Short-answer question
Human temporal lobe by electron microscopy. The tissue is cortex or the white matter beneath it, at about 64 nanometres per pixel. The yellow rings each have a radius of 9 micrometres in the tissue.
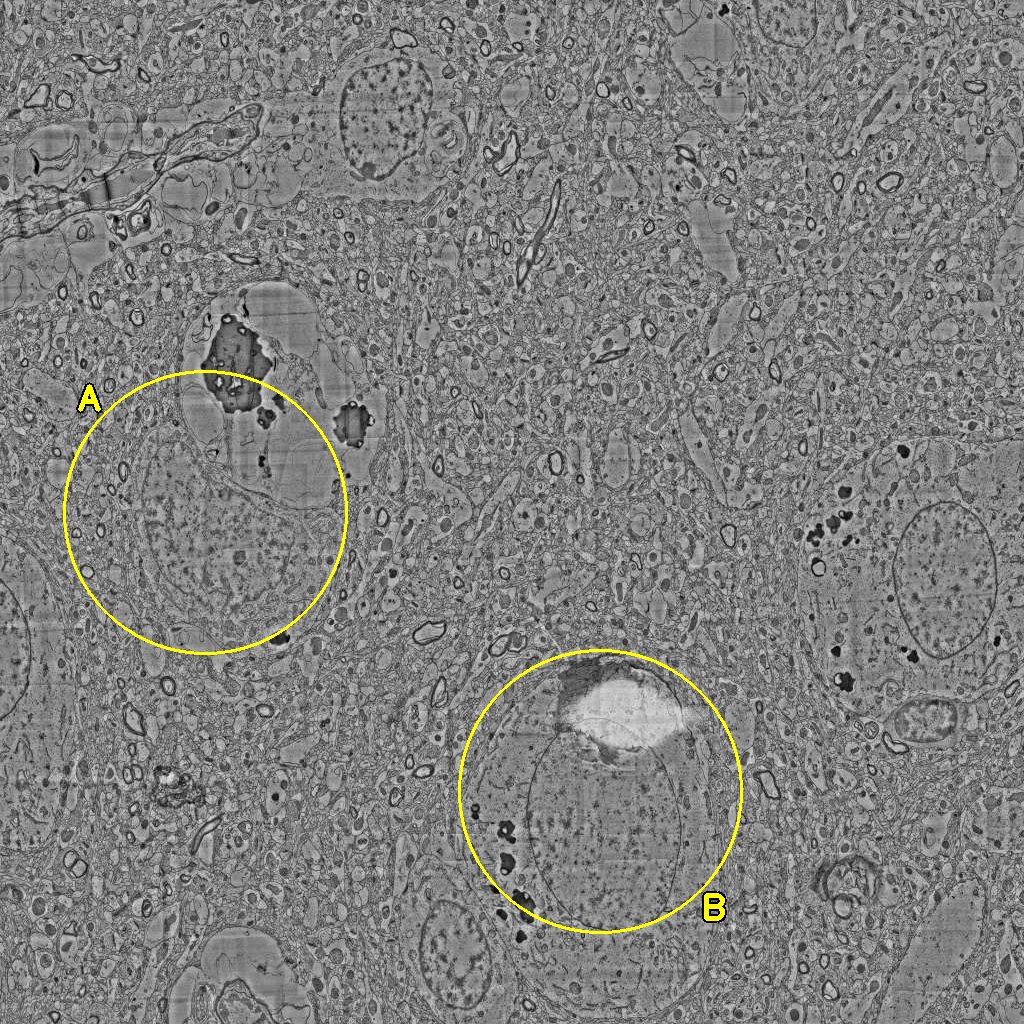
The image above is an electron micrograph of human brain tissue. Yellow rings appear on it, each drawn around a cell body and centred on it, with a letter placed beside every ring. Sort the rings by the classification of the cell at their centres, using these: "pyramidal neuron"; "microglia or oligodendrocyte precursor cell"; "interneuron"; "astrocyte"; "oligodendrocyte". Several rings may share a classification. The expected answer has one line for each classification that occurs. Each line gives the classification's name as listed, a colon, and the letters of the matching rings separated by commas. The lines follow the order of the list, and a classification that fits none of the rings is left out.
pyramidal neuron: B
interneuron: A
